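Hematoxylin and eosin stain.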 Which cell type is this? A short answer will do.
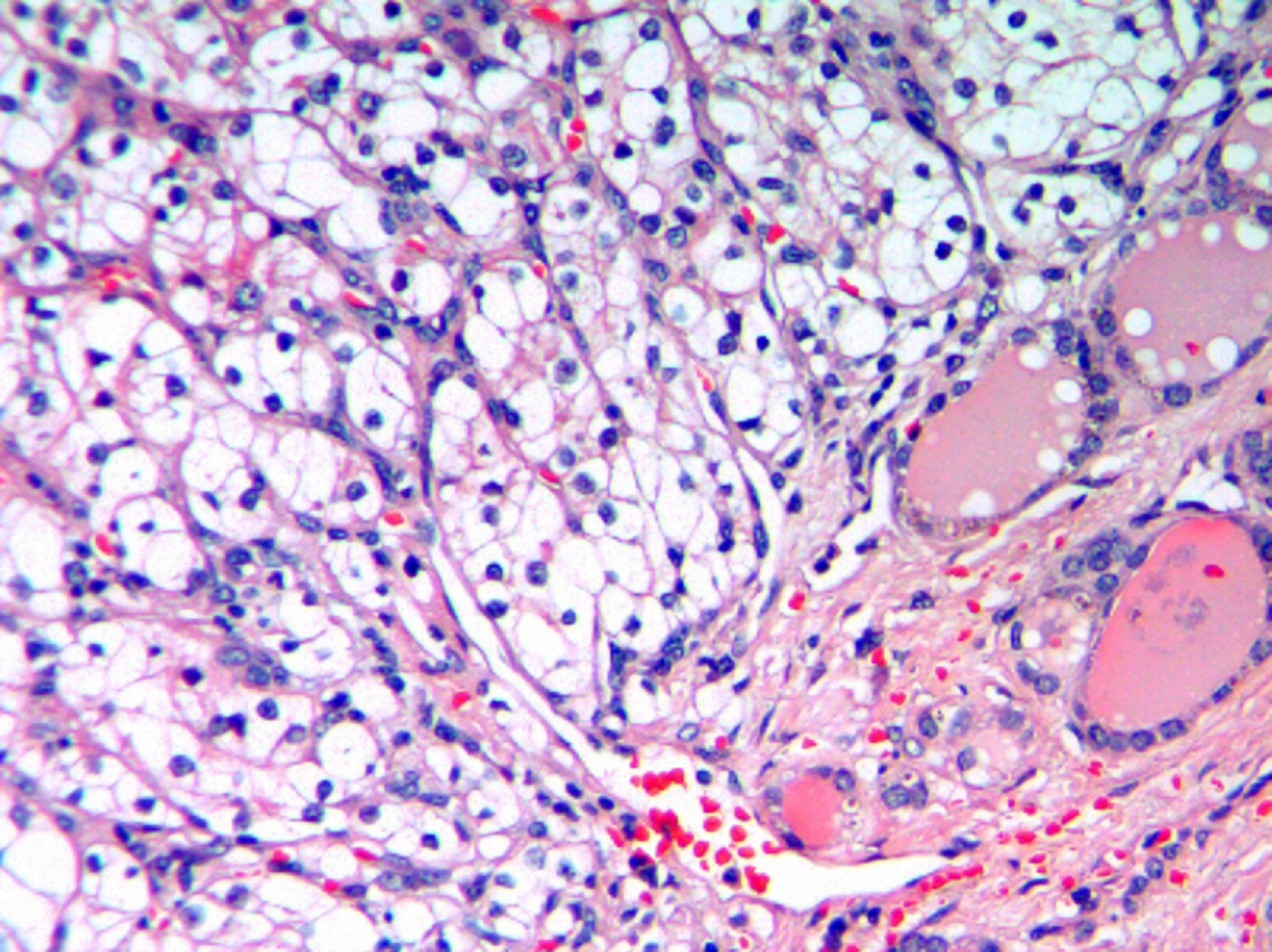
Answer: Renal cell cancer cells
